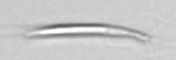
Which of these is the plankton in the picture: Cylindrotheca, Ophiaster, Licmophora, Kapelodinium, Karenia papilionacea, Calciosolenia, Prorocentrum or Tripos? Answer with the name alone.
Calciosolenia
